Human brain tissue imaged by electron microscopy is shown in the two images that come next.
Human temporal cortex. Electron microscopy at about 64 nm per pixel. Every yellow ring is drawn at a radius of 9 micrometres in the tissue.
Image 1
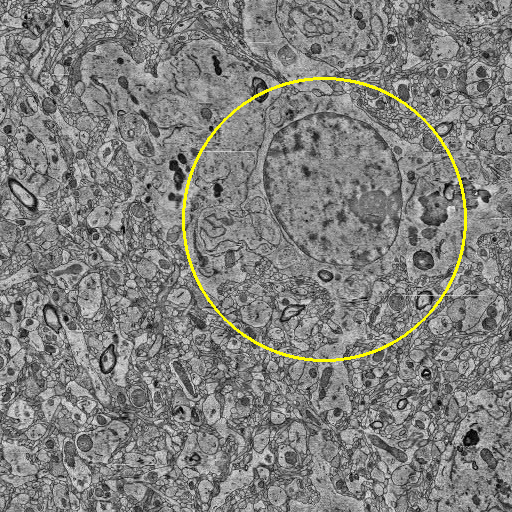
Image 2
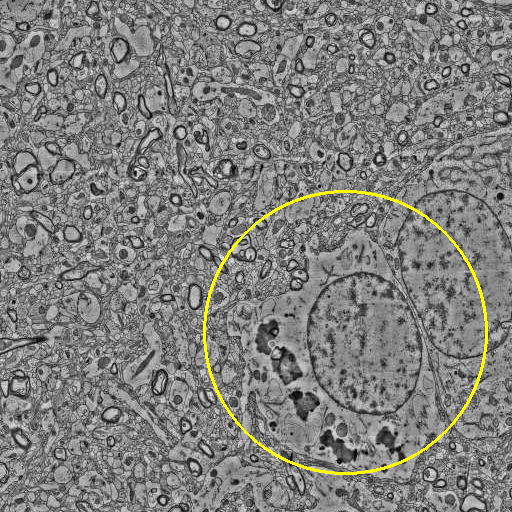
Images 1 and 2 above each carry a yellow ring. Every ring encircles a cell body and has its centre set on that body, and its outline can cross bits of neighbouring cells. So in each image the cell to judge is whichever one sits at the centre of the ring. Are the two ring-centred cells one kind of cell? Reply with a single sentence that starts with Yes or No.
Yes, in Image 1 and Image 2 the cells at the centres of their rings fall into one type.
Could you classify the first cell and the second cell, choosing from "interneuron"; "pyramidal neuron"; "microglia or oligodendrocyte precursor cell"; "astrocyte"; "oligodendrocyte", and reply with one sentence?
Both pictures show an astrocyte at the centre of the ring.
